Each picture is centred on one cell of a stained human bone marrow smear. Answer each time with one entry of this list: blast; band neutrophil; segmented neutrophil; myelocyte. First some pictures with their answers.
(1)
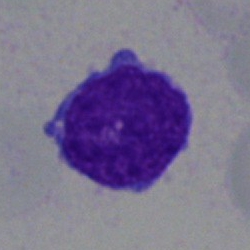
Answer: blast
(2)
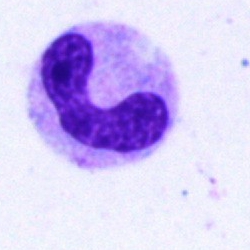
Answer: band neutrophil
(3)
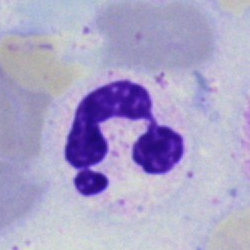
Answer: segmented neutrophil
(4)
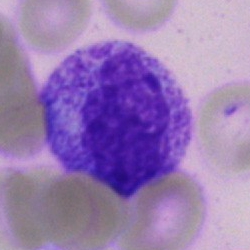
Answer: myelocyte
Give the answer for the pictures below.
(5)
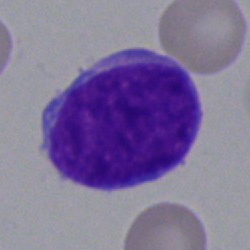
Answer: blast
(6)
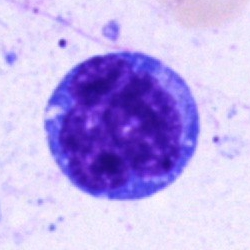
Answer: blast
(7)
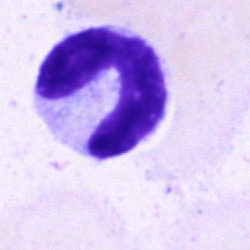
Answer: band neutrophil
